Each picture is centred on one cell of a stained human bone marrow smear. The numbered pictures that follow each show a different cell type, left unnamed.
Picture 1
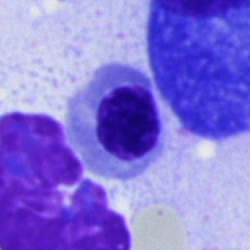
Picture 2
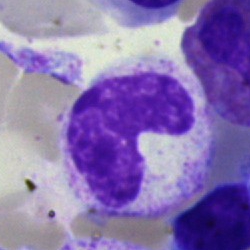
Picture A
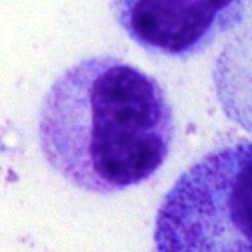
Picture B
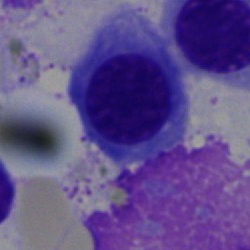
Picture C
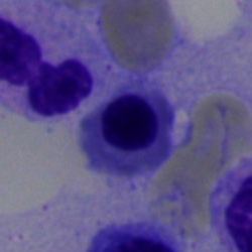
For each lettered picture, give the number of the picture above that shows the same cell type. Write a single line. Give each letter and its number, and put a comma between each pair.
A 2, B 1, C 1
